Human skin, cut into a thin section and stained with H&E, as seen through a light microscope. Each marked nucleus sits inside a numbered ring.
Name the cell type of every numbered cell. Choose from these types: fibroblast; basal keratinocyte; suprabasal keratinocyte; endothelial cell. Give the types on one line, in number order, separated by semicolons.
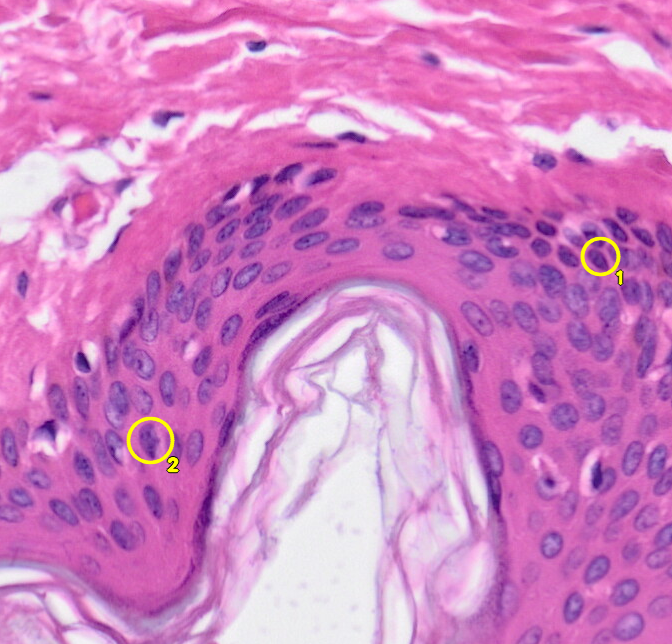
basal keratinocyte; suprabasal keratinocyte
